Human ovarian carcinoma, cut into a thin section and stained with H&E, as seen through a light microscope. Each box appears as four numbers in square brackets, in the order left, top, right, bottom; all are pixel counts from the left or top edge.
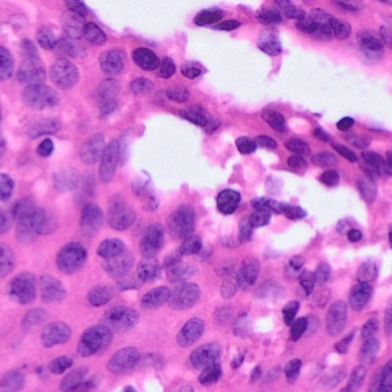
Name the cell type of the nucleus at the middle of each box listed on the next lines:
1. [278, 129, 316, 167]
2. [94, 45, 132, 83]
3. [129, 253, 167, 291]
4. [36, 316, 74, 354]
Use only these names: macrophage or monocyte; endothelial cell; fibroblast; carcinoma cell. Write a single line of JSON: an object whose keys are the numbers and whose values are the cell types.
{"1": "carcinoma cell", "2": "carcinoma cell", "3": "macrophage or monocyte", "4": "carcinoma cell"}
